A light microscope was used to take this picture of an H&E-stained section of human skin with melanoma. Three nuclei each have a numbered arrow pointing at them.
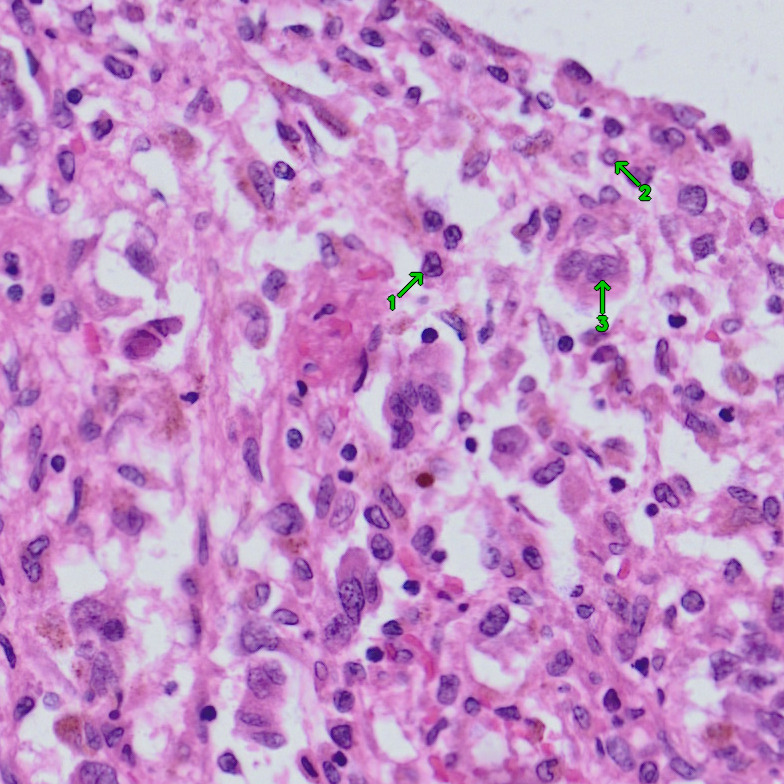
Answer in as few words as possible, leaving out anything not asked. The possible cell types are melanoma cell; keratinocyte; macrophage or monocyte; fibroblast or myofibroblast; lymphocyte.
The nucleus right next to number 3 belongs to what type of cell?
melanoma cell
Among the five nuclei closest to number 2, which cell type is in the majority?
macrophage or monocyte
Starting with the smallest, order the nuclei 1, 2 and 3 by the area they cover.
2, 1, 3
